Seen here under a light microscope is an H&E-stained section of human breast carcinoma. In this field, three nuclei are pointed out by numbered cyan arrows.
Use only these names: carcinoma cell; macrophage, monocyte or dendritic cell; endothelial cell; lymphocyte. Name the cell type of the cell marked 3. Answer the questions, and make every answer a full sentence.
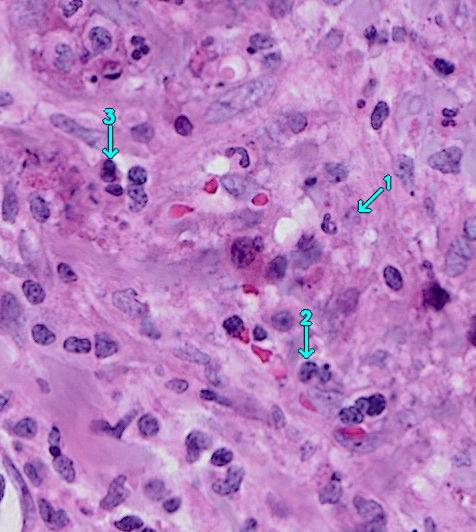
The label 3 in this section denotes a lymphocyte.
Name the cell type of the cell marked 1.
The cell whose nucleus carries the number 1 is a macrophage, monocyte or dendritic cell.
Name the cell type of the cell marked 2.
The one labeled 2 is a lymphocyte, to put it simply.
